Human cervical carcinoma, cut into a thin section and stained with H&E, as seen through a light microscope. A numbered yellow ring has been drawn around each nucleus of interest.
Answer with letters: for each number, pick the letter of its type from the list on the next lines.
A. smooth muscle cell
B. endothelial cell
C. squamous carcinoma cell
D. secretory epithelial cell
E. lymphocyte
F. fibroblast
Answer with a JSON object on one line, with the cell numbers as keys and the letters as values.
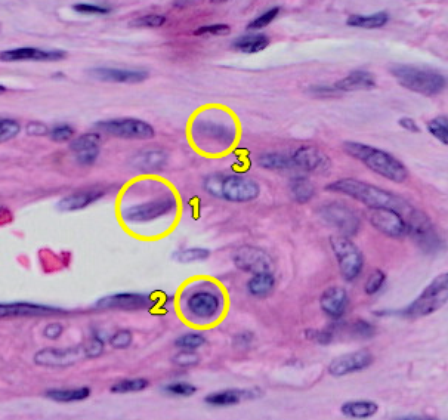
{"1": "B", "2": "A", "3": "A"}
